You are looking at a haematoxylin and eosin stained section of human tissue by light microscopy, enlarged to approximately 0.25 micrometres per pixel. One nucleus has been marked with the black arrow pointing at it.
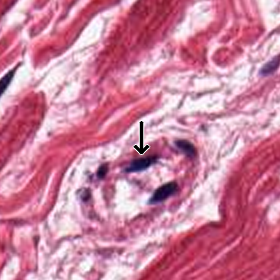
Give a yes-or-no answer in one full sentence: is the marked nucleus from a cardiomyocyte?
No, the marked nucleus is that of a supporting cell instead of a cardiomyocyte.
